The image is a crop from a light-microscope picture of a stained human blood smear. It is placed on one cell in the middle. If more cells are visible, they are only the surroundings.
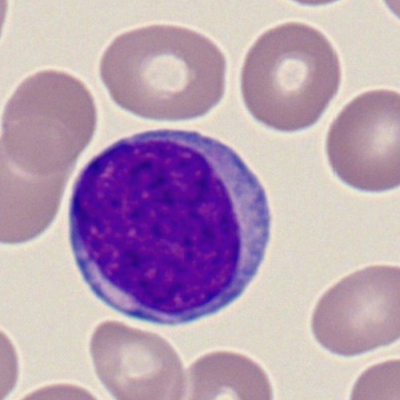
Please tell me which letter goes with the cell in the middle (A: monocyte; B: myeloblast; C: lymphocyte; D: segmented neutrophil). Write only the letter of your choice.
B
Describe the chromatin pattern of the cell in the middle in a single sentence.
The chromatin pattern here is coarse and clumped.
